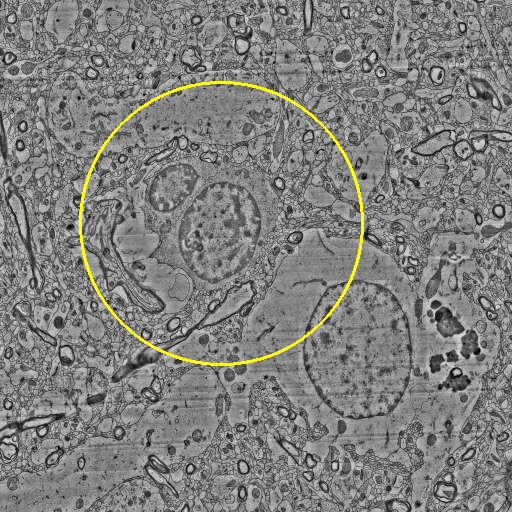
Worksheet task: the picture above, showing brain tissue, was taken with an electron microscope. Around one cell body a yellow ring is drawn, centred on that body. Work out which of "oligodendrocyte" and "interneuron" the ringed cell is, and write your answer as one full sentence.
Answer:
It is an oligodendrocyte whose cell body lies at the centre of the yellow ring.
